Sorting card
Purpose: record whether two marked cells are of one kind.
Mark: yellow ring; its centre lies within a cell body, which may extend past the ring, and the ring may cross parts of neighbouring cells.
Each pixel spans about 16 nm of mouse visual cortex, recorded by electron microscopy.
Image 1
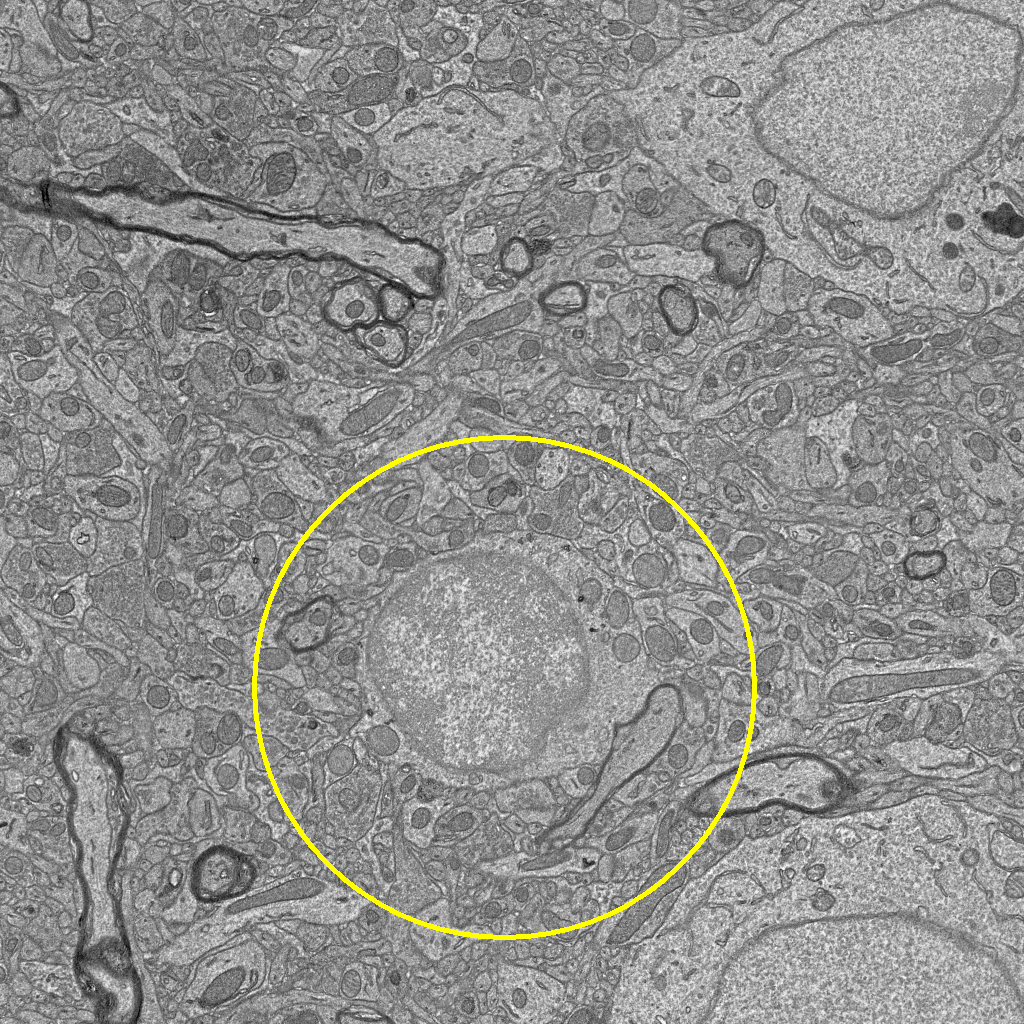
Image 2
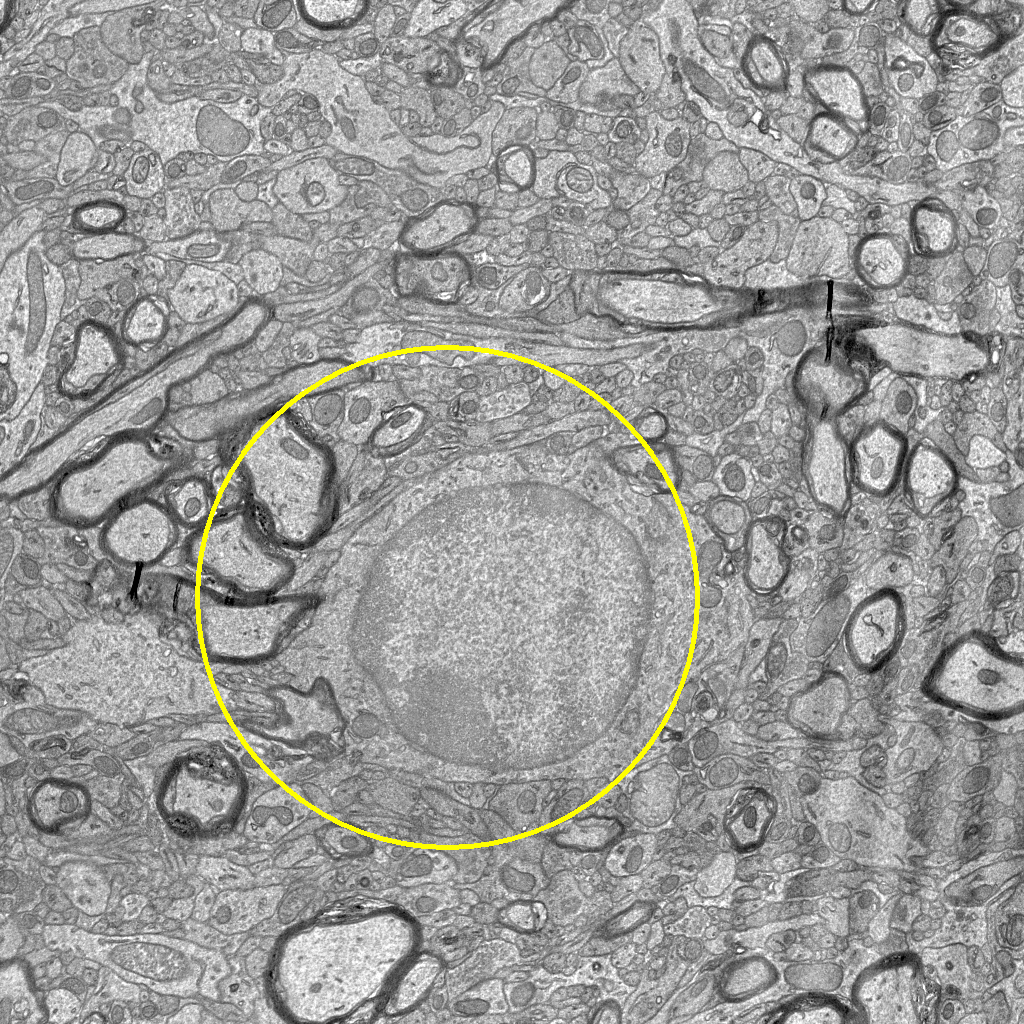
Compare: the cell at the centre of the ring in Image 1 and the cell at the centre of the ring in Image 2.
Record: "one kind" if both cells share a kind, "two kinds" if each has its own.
one kind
